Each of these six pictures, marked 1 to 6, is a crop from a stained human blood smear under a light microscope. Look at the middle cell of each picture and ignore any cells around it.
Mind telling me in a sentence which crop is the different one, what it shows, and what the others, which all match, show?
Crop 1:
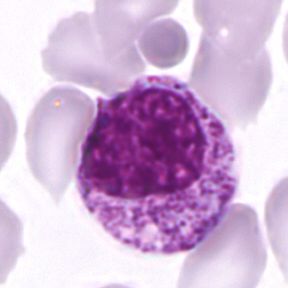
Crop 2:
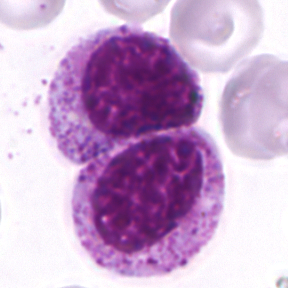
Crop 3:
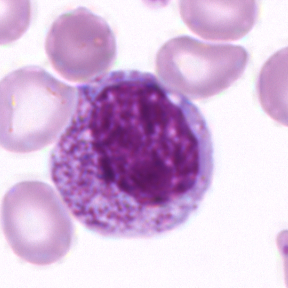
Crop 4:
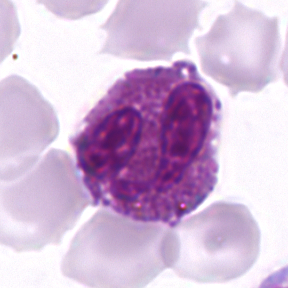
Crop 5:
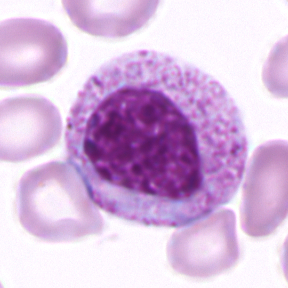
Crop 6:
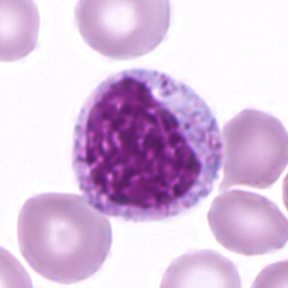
All the crops show myelocytes except crop 4, which shows an eosinophil.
